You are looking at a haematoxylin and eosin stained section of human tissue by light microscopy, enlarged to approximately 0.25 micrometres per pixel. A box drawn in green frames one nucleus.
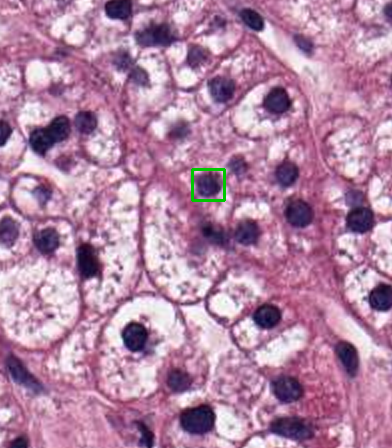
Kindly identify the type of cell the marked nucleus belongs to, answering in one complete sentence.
The mark in this picture falls on the nucleus of an adrenal cortical cell.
